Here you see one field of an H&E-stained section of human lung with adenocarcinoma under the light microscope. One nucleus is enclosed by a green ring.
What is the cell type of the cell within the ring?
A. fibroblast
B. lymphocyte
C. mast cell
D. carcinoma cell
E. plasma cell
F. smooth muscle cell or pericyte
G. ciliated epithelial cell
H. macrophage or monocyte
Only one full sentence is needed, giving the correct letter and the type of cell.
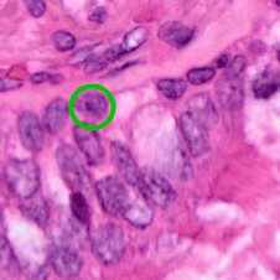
That the cell within the ring is a ciliated epithelial cell makes option G the correct choice.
